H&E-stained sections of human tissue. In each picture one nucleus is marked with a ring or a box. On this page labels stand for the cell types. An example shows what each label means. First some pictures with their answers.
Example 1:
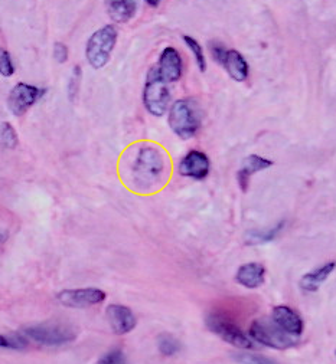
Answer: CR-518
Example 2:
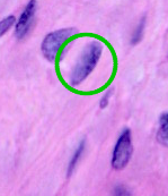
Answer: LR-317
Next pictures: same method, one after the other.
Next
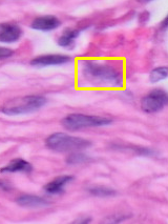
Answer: CR-518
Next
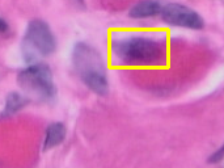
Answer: CR-518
